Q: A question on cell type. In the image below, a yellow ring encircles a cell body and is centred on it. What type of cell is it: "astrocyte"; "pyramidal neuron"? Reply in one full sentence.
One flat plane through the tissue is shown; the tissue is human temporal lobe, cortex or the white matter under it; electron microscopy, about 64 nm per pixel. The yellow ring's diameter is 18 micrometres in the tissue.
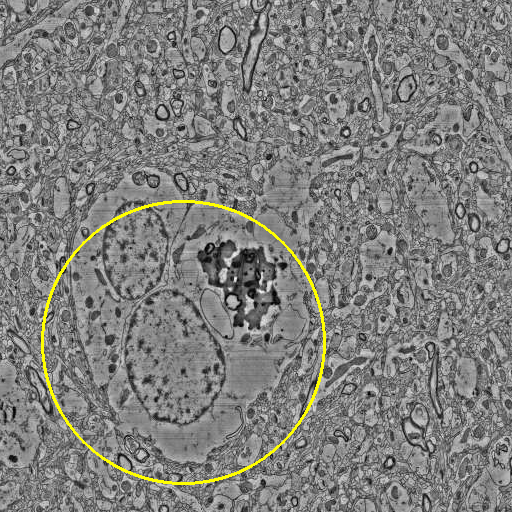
It is an astrocyte whose cell body sits at the centre of the yellow ring in the image.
